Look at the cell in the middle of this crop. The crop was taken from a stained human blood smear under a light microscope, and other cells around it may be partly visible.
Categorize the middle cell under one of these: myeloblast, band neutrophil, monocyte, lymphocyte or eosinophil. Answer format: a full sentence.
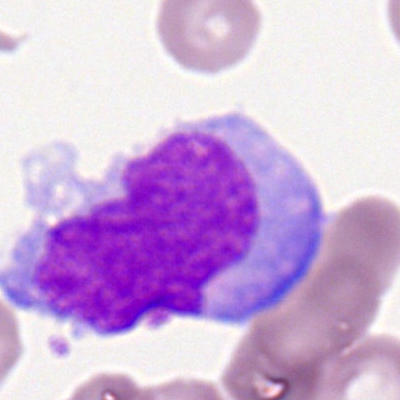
The crop shows a monocyte in its centre.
